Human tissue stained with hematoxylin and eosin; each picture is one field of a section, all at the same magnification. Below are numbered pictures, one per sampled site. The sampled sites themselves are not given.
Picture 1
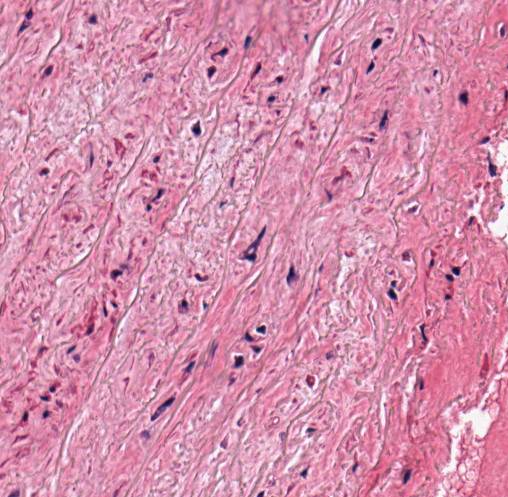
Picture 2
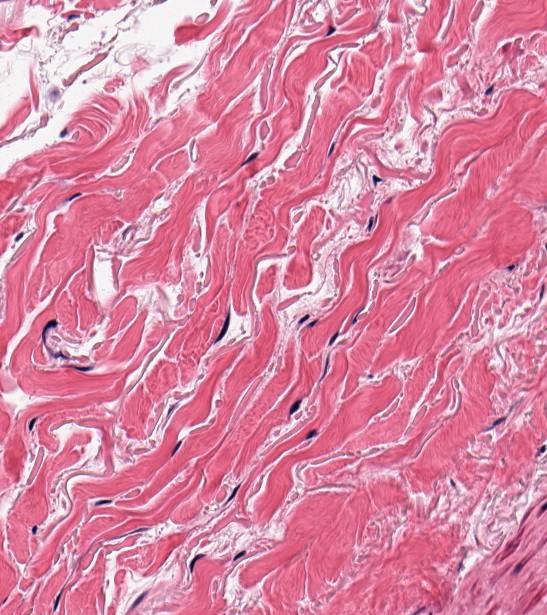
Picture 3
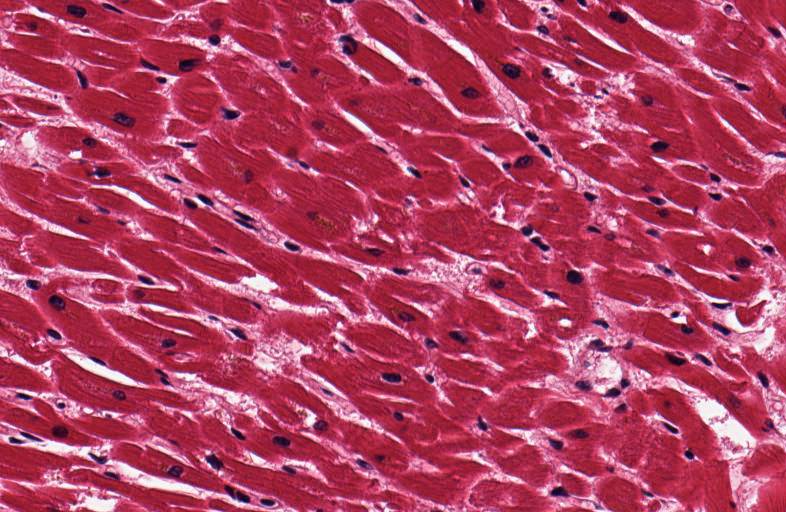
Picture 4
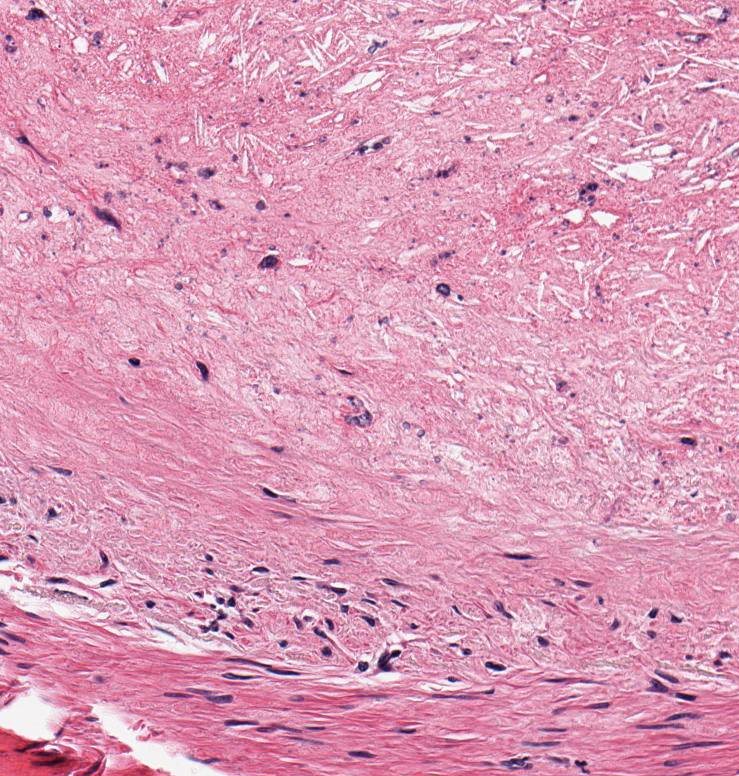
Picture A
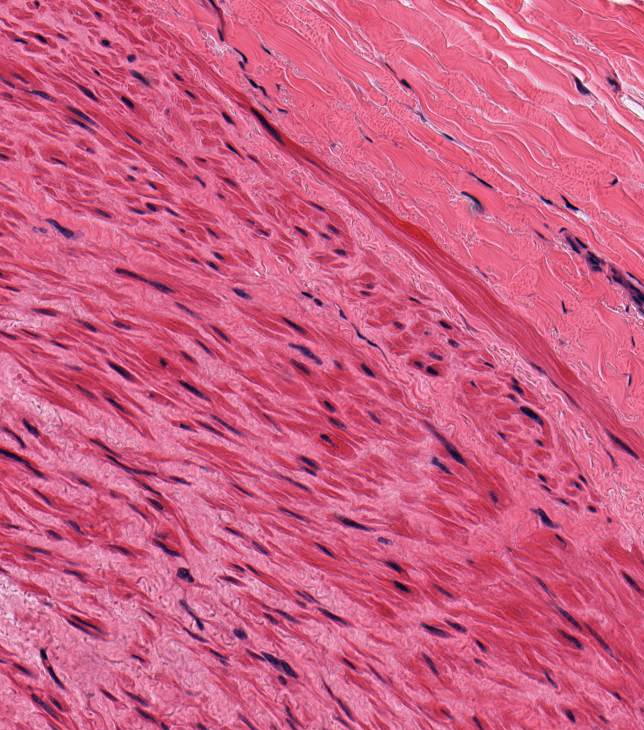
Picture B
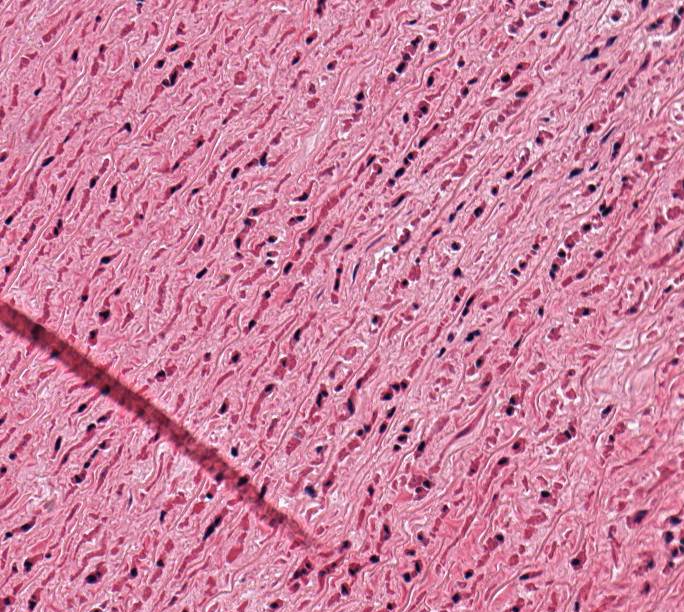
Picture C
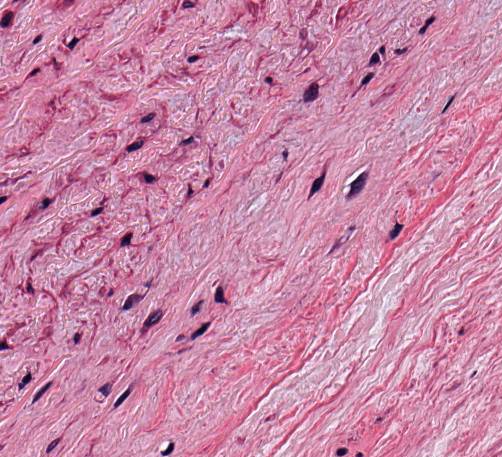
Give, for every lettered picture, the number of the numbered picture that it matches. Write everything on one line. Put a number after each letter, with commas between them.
A 2, B 1, C 1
